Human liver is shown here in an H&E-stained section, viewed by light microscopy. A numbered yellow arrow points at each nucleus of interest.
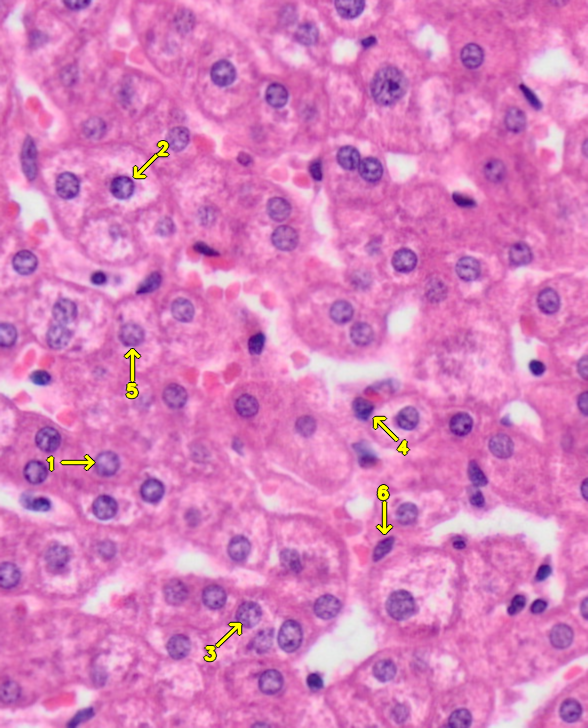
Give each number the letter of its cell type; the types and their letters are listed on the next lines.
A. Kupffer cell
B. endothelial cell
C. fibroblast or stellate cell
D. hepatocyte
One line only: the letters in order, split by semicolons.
D; D; D; C; D; C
